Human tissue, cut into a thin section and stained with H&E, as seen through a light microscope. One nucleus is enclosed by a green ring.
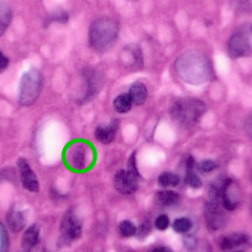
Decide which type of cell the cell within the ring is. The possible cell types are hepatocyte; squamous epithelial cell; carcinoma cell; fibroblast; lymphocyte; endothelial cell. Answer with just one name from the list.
squamous epithelial cell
